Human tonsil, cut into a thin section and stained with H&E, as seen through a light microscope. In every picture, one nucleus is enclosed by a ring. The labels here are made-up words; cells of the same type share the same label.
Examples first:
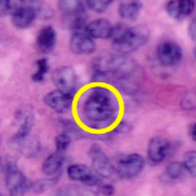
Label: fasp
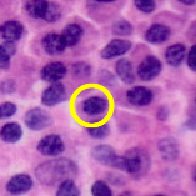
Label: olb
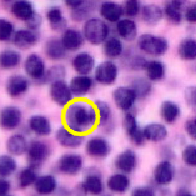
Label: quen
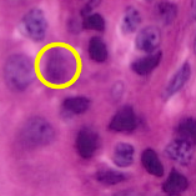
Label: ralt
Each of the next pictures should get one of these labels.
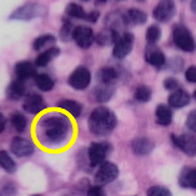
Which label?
fasp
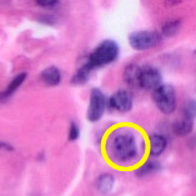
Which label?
olb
